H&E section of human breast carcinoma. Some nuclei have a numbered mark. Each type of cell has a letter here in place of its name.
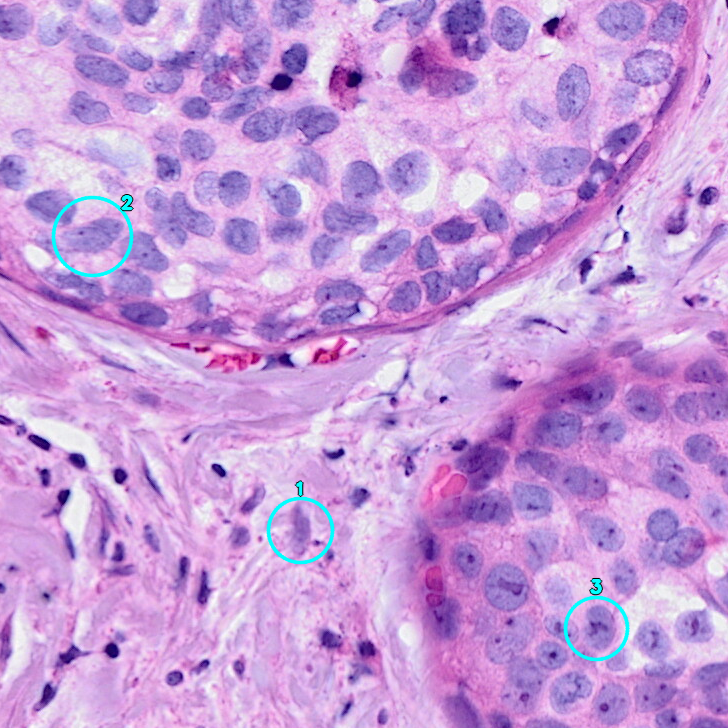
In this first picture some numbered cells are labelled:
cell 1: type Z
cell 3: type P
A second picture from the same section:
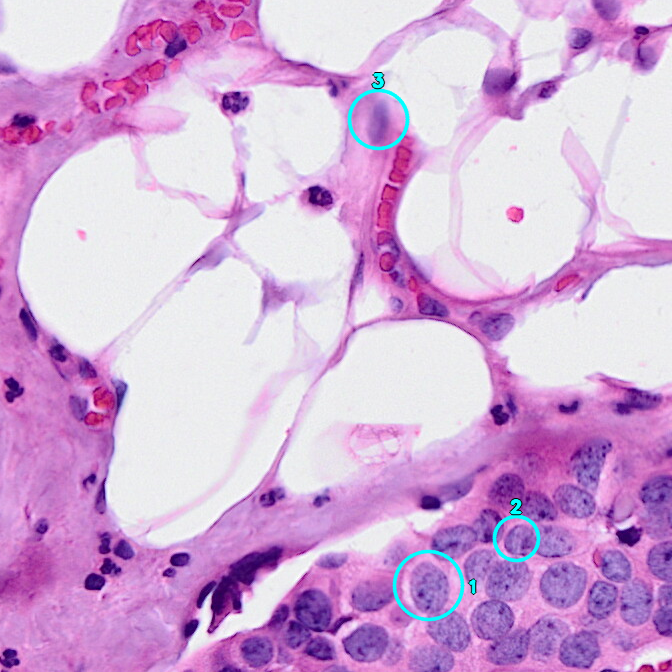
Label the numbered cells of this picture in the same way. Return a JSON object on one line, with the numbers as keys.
{"1": "type P", "2": "type P", "3": "type Z"}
